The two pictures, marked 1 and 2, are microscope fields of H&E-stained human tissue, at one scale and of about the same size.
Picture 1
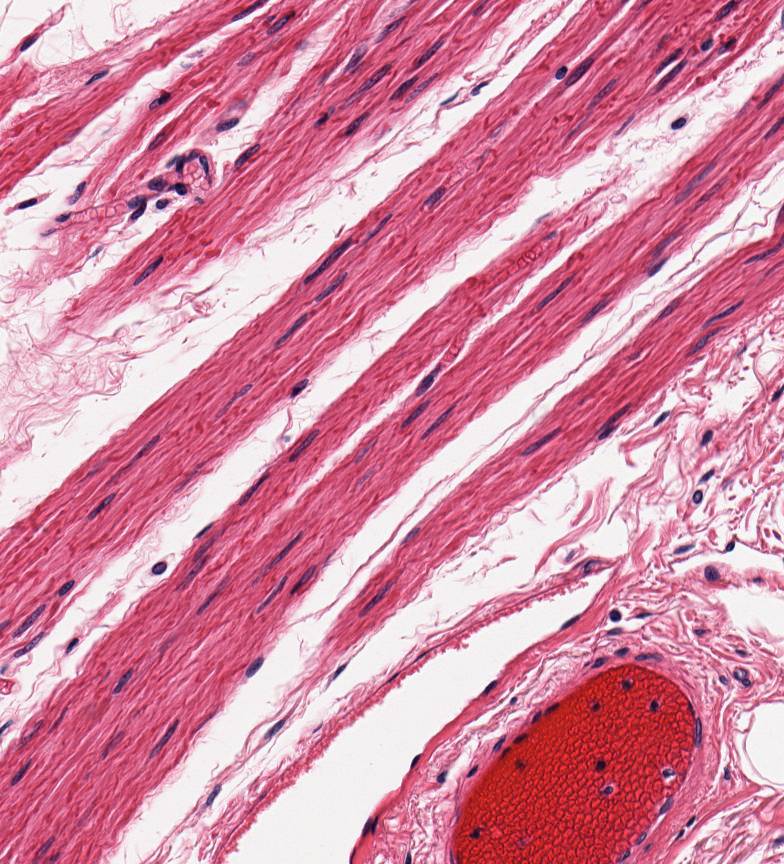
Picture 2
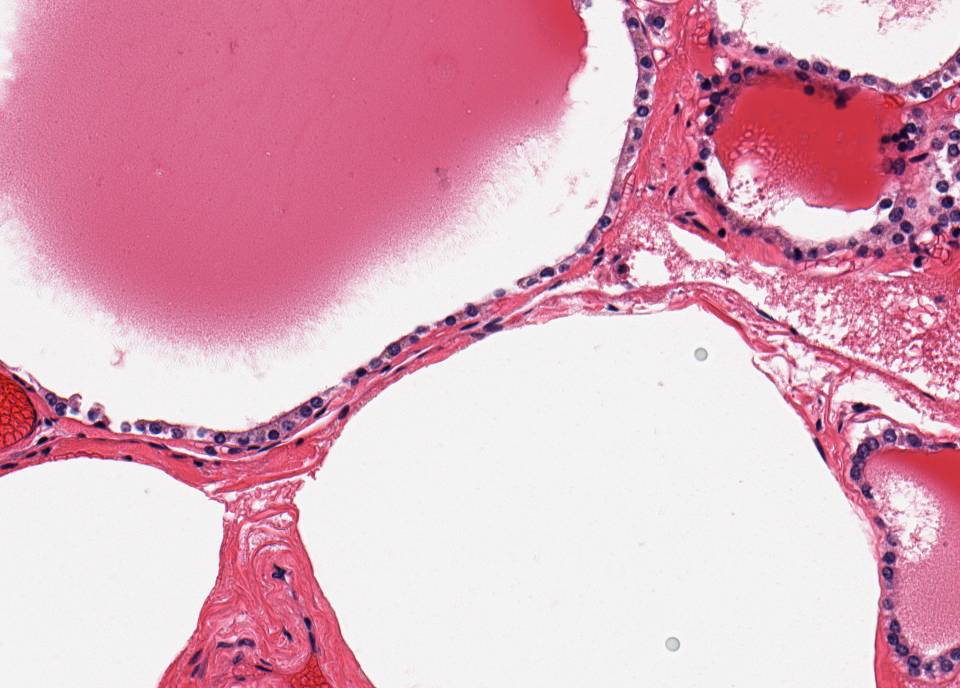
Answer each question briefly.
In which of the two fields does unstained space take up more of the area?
2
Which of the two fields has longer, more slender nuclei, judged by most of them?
1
